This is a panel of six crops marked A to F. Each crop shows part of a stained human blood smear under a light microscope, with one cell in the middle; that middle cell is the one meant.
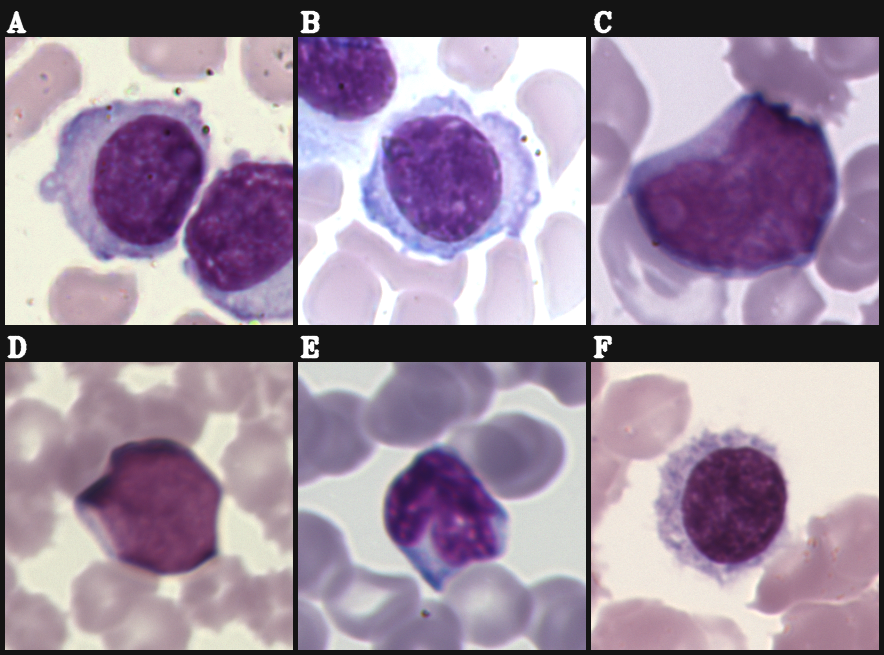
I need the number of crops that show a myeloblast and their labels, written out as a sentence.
Summing up, there are two crops with myeloblasts: C and D.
